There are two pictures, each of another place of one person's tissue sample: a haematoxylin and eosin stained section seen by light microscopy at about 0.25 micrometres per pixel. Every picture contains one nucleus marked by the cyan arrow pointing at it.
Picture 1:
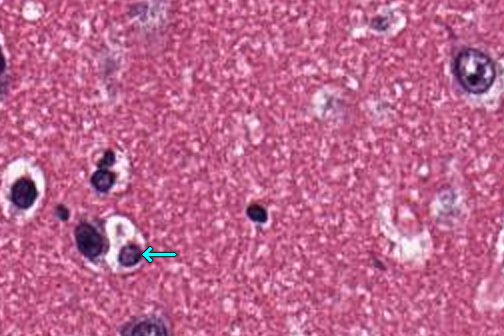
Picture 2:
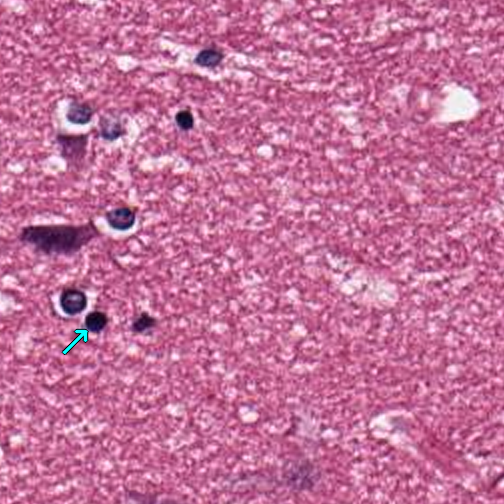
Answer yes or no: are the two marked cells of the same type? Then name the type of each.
Yes, both are oligodendrocytes.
